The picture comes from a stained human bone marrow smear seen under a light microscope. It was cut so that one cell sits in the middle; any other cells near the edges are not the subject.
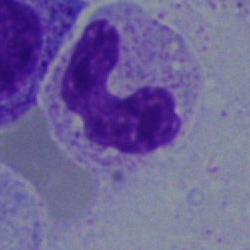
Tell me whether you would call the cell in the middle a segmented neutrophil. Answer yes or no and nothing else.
no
